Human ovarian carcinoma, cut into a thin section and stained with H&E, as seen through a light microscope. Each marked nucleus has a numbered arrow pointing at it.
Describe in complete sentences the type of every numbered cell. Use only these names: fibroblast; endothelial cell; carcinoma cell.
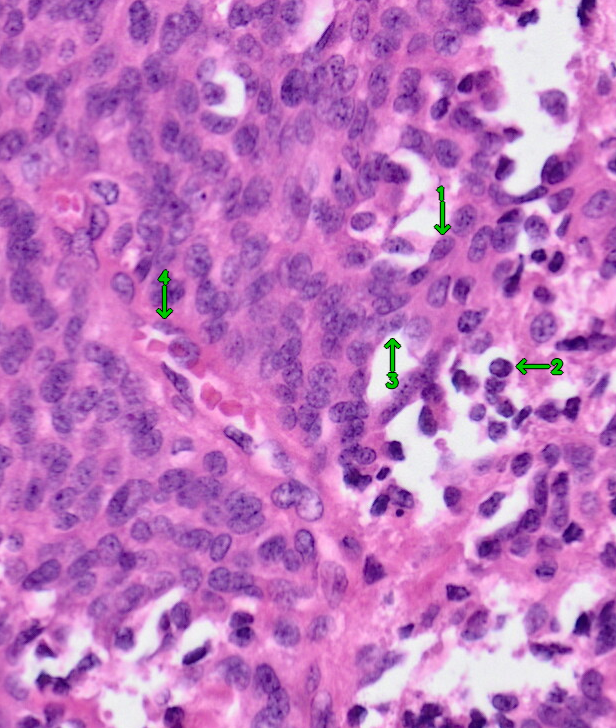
Cells 1, 2 and 3 are carcinoma cells. Cell 4 is an endothelial cell.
